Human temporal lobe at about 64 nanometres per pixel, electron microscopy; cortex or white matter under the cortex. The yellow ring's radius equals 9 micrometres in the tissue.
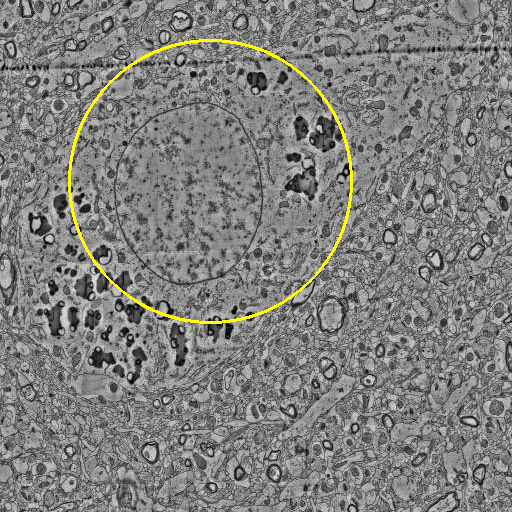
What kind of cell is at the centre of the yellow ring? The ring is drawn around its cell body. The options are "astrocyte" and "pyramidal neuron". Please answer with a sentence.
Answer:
The yellow ring marks the cell body of a pyramidal neuron.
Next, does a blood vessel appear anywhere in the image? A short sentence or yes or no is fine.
No, the picture includes no blood vessel.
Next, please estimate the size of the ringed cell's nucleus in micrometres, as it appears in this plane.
Approximately 12 x 10 micrometres in this plane.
